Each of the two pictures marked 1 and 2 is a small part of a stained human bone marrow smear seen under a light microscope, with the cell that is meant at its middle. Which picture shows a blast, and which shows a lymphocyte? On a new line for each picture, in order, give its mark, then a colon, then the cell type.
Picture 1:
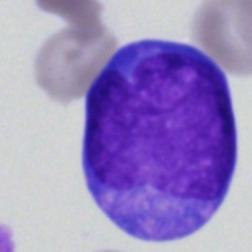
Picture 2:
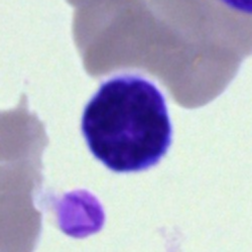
1: blast
2: lymphocyte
